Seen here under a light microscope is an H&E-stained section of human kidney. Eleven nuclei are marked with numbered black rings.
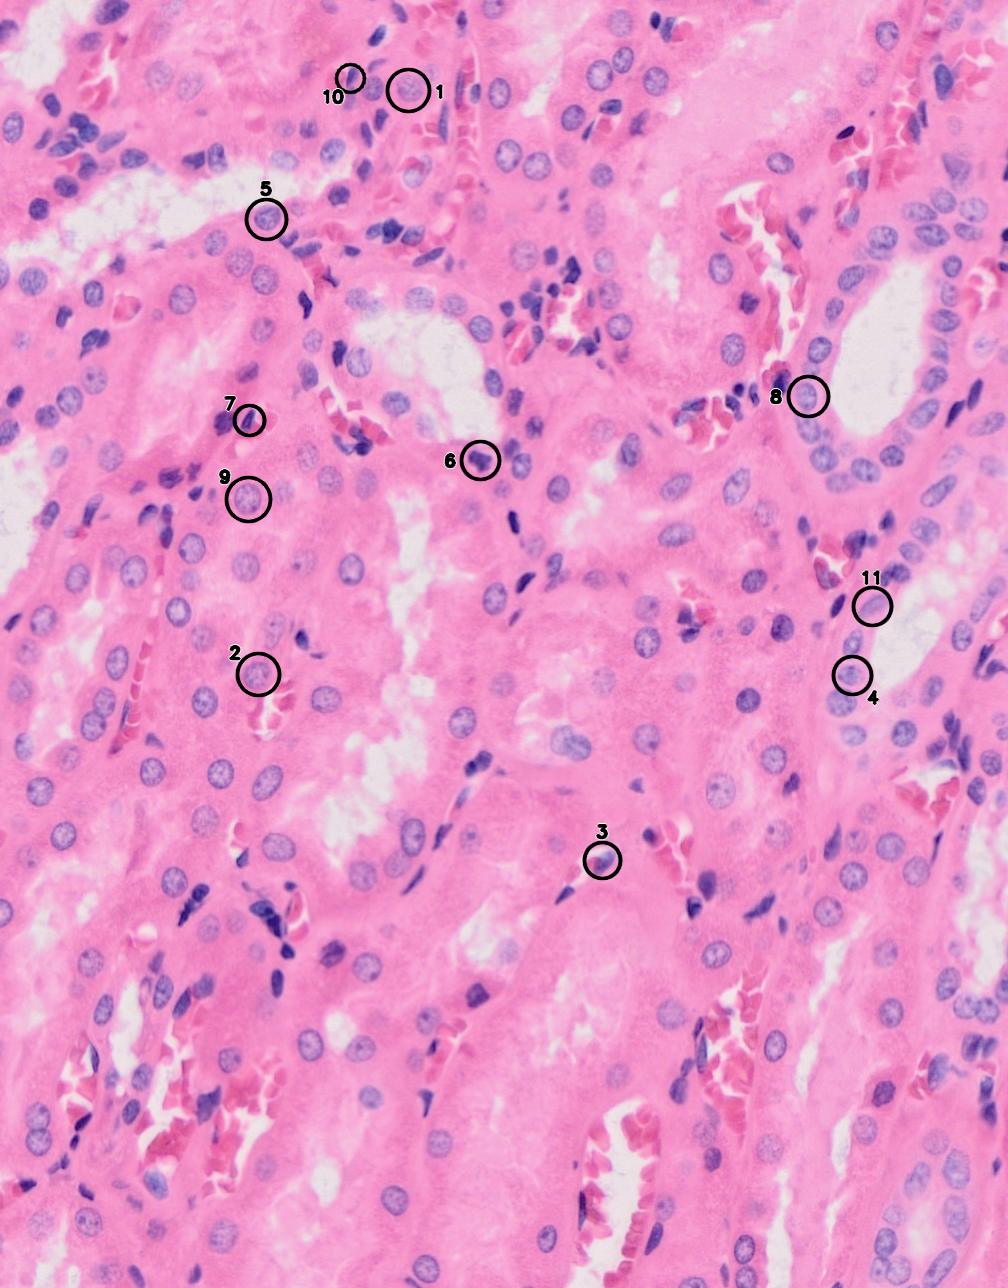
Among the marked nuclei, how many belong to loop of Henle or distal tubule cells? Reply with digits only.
3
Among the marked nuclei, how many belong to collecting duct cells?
3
